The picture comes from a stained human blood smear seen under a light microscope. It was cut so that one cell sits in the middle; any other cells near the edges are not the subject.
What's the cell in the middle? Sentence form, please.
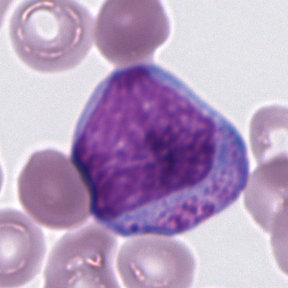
Regarding the central cell, it is an atypical promyelocyte.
